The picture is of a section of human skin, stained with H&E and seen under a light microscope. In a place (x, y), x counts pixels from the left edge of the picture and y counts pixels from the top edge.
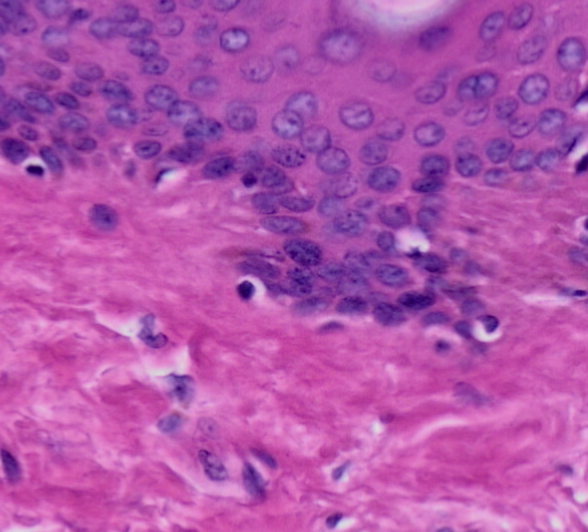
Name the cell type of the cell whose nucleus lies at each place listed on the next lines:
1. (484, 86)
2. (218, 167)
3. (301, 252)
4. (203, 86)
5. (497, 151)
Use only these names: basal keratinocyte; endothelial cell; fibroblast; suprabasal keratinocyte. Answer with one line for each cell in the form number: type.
1: suprabasal keratinocyte
2: basal keratinocyte
3: basal keratinocyte
4: suprabasal keratinocyte
5: basal keratinocyte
